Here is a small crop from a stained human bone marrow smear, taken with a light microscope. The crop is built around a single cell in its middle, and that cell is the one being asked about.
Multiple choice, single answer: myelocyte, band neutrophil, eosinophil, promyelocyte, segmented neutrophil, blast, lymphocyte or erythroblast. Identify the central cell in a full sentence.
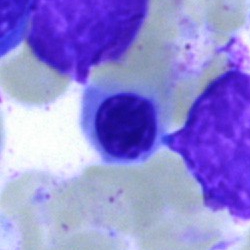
For this crop, the central cell is an erythroblast.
